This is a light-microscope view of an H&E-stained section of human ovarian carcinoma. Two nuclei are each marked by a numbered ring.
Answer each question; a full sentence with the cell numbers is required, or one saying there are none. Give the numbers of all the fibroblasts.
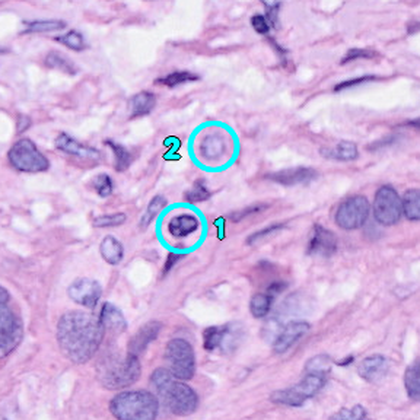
Cell 2 is a fibroblast; every other numbered cell is something else.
